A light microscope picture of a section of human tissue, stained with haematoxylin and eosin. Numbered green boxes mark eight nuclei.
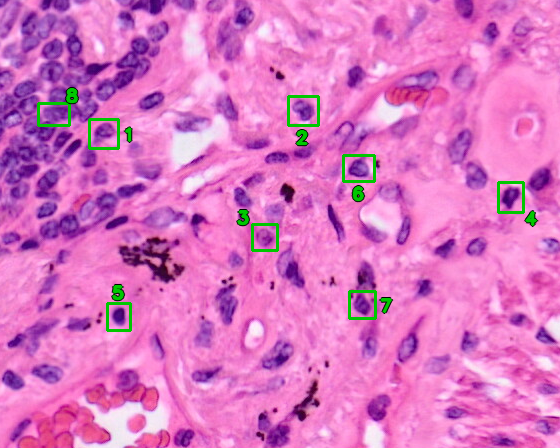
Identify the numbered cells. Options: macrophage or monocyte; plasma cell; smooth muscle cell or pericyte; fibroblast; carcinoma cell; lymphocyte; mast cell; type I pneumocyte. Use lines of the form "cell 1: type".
cell 1: lymphocyte
cell 2: lymphocyte
cell 3: plasma cell
cell 4: plasma cell
cell 5: lymphocyte
cell 6: lymphocyte
cell 7: plasma cell
cell 8: lymphocyte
